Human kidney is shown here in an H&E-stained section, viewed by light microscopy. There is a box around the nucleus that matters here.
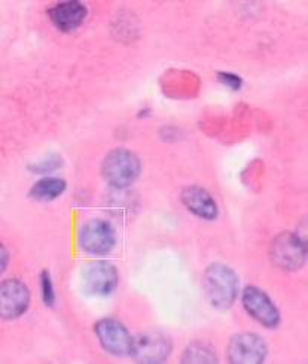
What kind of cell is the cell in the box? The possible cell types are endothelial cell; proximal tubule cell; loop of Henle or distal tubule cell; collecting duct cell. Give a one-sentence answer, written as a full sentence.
In this section, the cell in the box is a collecting duct cell.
